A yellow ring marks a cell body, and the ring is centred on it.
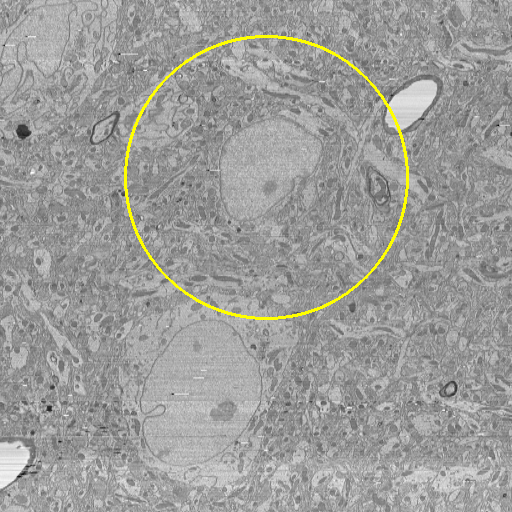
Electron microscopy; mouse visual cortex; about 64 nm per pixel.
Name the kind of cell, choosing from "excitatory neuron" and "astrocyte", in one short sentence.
The marked cell body belongs to an astrocyte.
